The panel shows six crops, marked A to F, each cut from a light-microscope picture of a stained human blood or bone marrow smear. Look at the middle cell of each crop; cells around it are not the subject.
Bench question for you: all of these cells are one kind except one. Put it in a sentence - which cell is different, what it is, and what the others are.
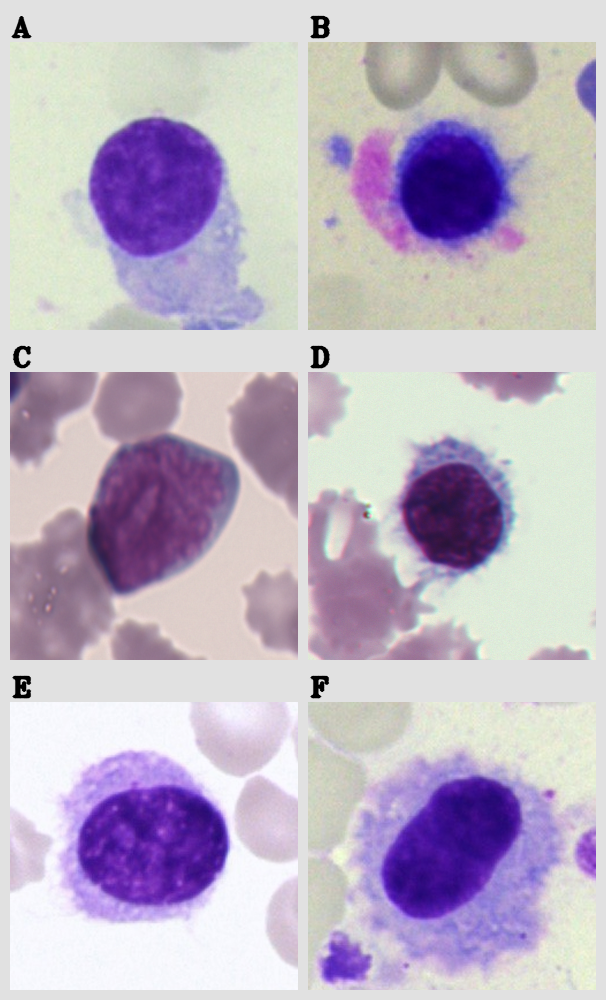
Crop C breaks the pattern as a blast; the other crops all contain hairy cells.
